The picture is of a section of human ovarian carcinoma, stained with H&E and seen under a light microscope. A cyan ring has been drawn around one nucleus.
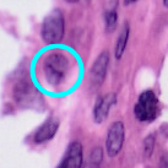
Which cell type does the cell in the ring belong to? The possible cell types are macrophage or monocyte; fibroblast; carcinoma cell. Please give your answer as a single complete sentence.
Histopathologically, the cell in the ring is a macrophage or monocyte.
